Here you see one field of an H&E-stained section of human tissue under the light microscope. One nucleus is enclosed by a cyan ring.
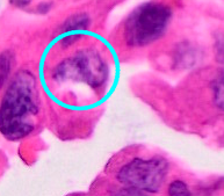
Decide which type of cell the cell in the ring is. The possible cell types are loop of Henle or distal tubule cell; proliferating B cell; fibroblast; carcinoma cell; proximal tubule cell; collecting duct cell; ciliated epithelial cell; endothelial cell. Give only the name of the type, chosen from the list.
carcinoma cell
